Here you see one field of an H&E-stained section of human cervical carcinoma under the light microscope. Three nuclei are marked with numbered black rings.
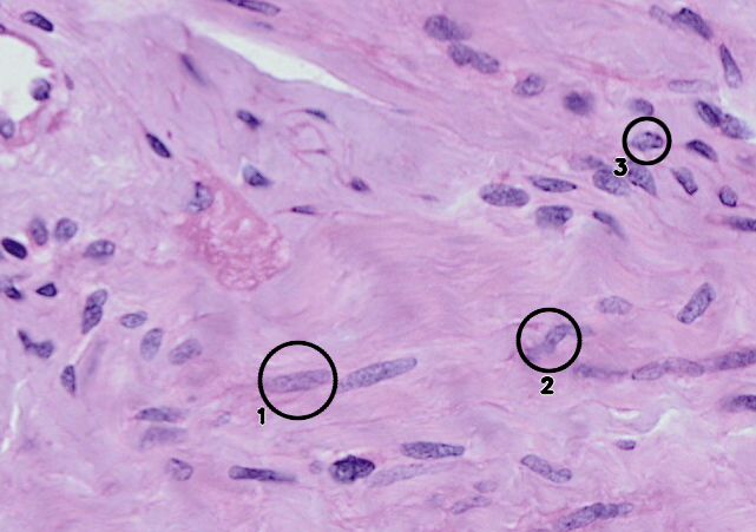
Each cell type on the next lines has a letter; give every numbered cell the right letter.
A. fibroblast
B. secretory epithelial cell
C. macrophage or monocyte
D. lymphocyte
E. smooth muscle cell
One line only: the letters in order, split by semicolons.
E; A; A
